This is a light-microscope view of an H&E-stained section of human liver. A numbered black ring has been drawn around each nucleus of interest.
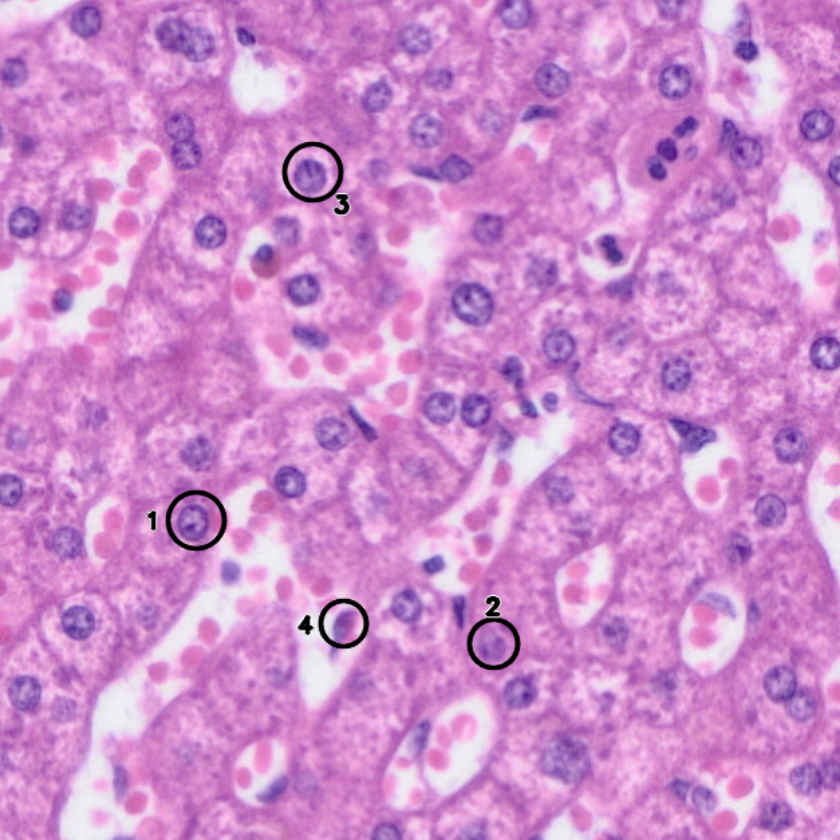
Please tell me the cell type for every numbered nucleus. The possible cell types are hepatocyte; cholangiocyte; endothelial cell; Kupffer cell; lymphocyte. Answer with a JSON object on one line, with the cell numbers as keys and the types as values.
{"1": "hepatocyte", "2": "hepatocyte", "3": "hepatocyte", "4": "Kupffer cell"}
